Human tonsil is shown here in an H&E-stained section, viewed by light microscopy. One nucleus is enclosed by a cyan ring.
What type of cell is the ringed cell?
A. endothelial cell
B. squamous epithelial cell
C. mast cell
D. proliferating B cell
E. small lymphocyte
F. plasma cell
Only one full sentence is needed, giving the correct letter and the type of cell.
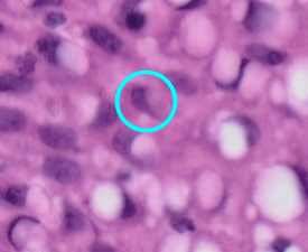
Option B names it right: the ringed cell is a squamous epithelial cell.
